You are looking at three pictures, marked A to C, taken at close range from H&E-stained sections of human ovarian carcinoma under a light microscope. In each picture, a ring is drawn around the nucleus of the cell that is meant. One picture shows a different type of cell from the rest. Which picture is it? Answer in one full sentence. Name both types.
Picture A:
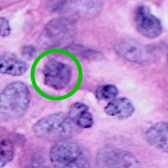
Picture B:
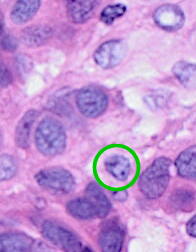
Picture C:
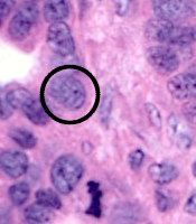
Picture C is the odd one out: it shows a carcinoma cell, while the others show “macrophages or monocytes”.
